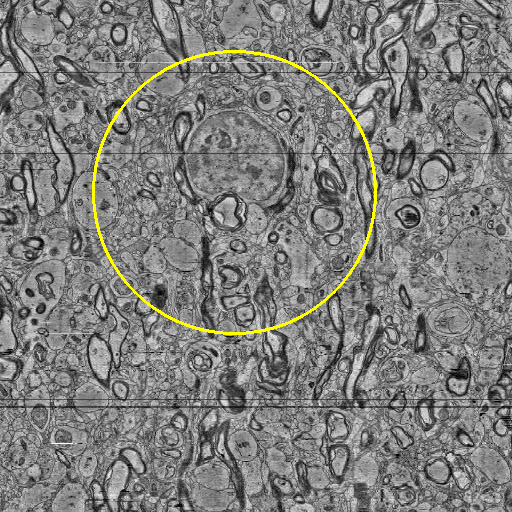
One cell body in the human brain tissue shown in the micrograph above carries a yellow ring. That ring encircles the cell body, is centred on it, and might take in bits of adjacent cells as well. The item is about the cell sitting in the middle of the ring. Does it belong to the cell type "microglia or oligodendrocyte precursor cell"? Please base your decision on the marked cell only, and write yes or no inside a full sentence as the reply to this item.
No, the cell in the centre of the yellow ring belongs to a different kind.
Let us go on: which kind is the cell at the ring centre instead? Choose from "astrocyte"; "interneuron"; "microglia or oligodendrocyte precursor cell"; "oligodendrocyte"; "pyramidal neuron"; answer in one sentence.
The ringed cell in this picture is, instead, an oligodendrocyte.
